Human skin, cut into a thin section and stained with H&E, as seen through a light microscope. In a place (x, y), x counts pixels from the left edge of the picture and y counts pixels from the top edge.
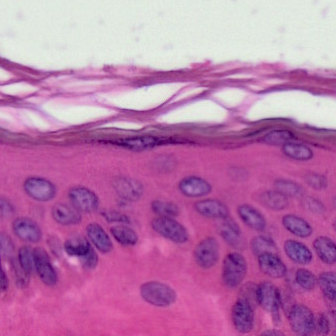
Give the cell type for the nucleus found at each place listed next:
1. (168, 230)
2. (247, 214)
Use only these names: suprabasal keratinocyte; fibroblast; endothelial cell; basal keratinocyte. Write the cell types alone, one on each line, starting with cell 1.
basal keratinocyte
suprabasal keratinocyte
